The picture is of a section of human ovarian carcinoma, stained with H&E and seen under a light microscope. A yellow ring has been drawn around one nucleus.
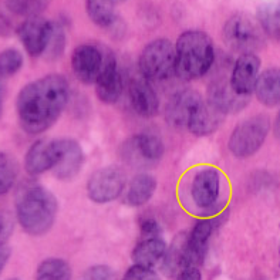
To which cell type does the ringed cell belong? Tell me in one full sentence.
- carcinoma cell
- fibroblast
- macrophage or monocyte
As for its identity, the ringed cell is a macrophage or monocyte.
